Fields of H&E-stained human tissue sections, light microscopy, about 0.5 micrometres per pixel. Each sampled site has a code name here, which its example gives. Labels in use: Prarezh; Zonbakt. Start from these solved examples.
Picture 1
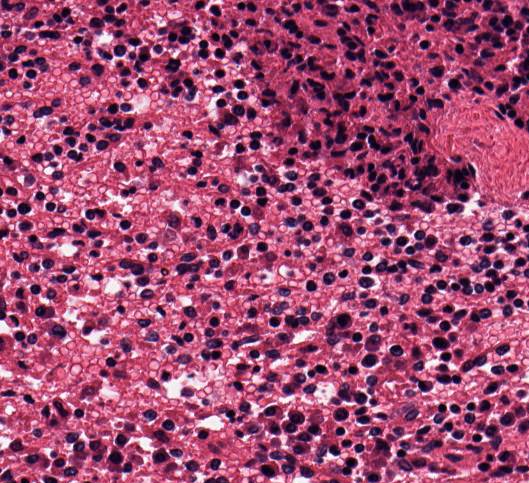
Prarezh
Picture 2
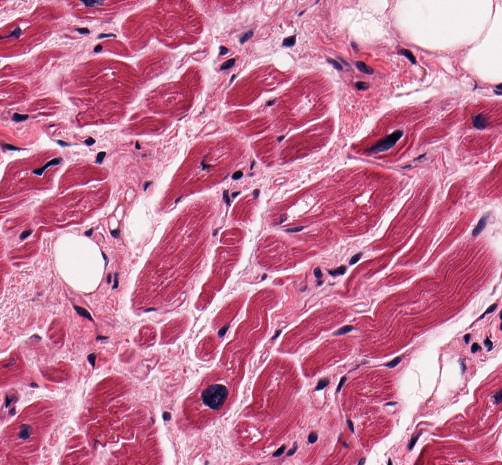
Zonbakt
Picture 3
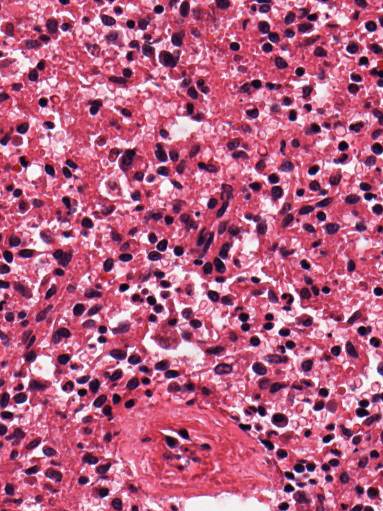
Prarezh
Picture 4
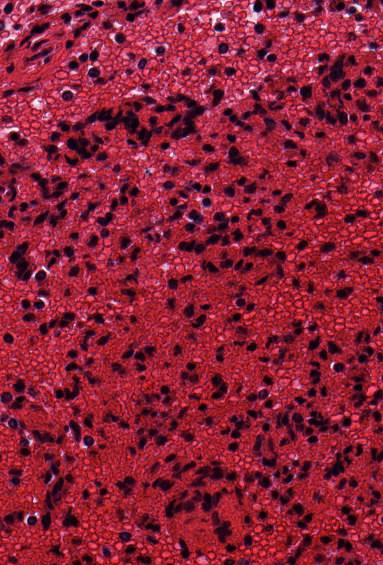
Prarezh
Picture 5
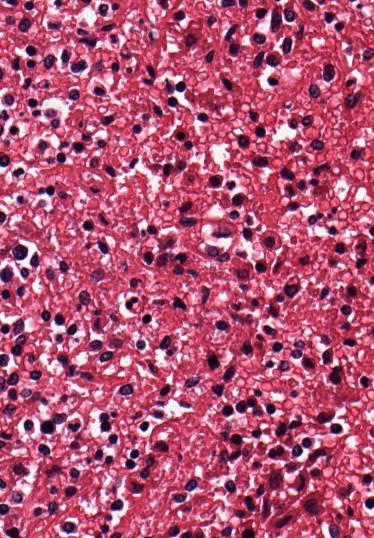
Prarezh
